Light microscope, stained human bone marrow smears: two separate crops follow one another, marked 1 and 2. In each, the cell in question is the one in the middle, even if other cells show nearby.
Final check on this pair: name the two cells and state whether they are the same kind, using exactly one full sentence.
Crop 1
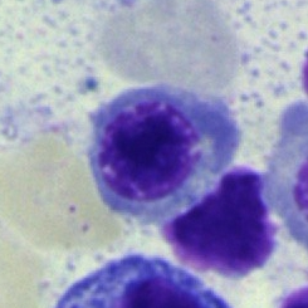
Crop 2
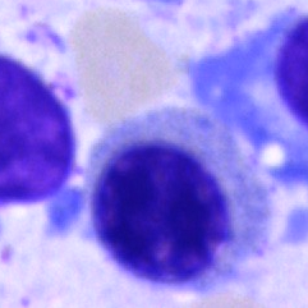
Yes, both crops in this set show erythroblasts.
